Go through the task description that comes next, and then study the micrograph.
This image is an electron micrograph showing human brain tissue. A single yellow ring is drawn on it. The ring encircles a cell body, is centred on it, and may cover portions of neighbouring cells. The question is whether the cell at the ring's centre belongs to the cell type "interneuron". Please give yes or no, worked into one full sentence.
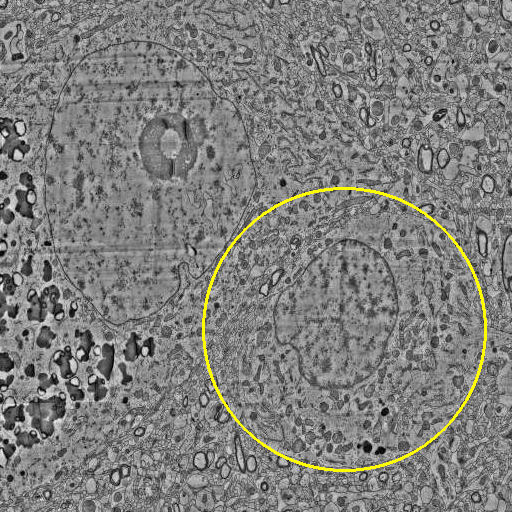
Yes, the cell that the ring is centred on in the micrograph is of this kind.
